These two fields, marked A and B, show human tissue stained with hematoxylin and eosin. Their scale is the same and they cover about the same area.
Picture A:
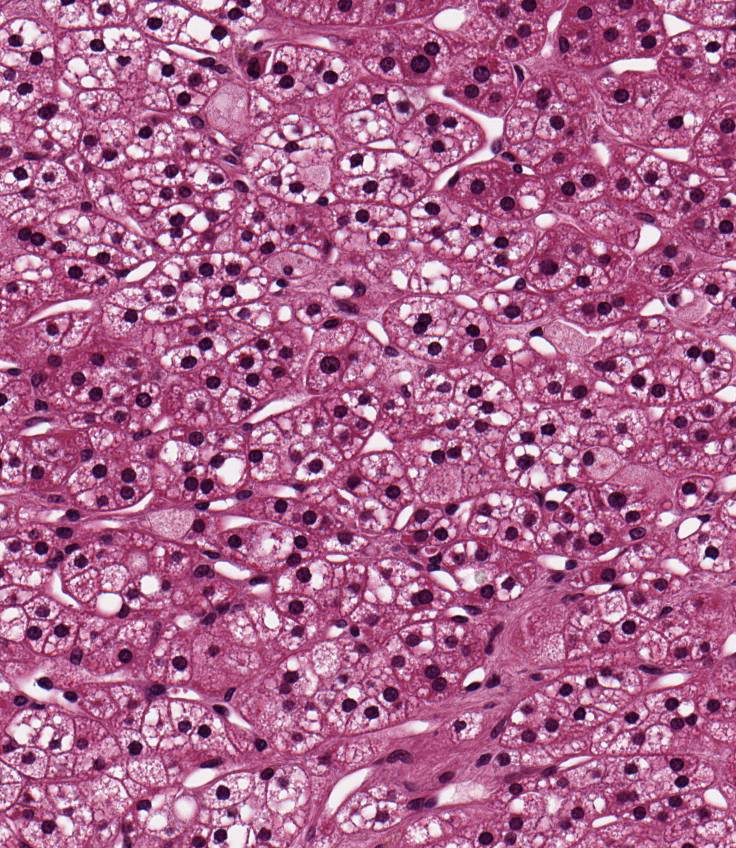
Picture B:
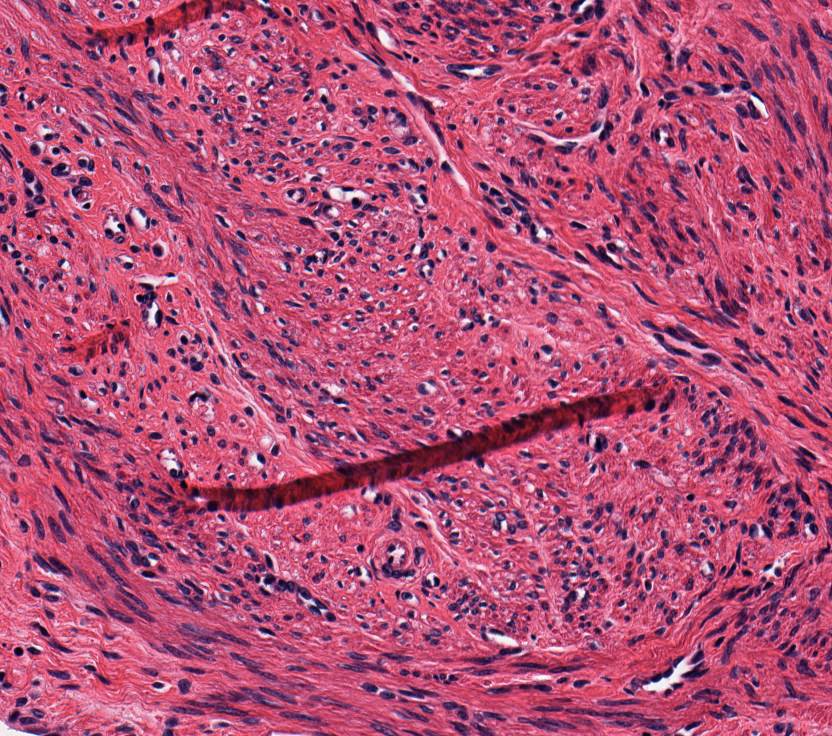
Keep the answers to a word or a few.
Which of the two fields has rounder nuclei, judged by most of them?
A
